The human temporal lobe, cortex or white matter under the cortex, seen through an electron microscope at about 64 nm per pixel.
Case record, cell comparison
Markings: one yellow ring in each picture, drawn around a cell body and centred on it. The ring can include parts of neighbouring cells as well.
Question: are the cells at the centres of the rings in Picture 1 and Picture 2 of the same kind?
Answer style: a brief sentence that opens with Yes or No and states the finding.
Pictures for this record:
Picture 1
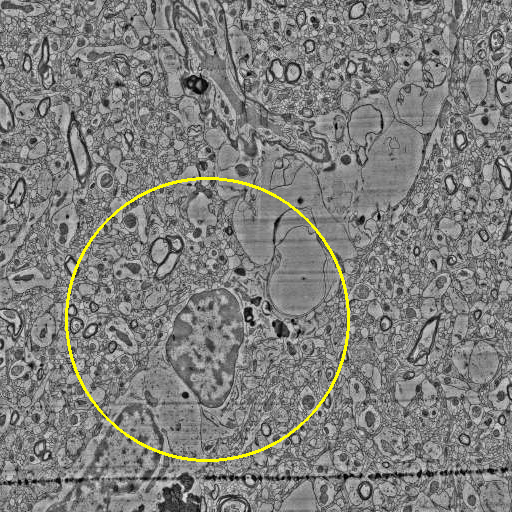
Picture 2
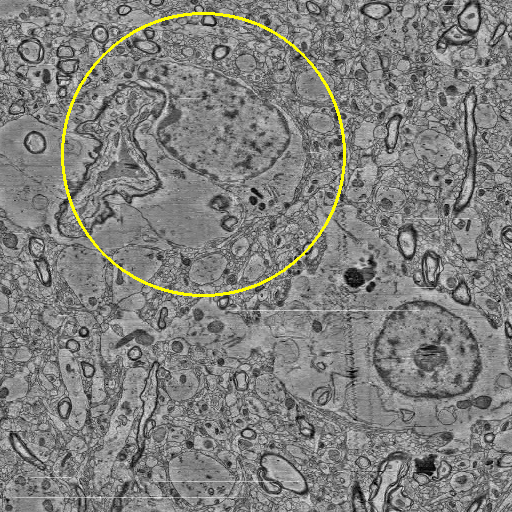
Yes, the cells in Picture 1 and Picture 2 are of the same kind.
